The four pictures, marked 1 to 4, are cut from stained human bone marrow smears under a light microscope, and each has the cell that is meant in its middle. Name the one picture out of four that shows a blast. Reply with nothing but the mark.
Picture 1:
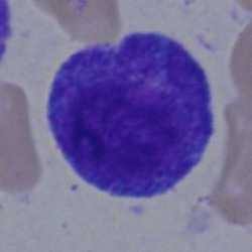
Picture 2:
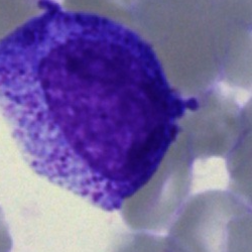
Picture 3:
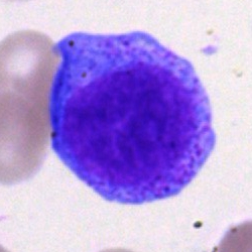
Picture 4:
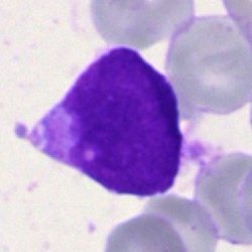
4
